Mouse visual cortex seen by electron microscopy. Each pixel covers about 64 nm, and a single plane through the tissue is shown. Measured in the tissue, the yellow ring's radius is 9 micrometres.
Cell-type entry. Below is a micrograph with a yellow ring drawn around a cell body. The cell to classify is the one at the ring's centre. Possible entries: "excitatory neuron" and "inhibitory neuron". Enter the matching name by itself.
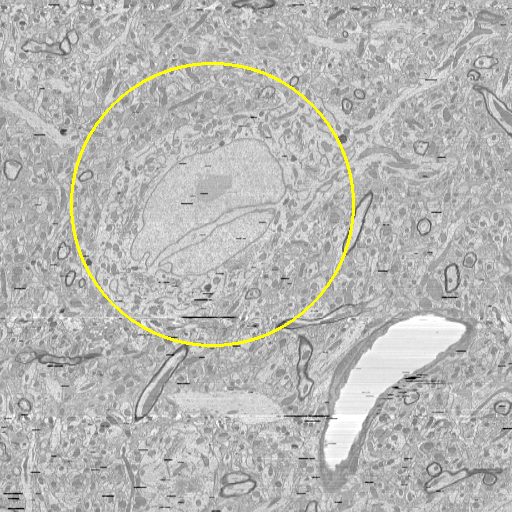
inhibitory neuron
